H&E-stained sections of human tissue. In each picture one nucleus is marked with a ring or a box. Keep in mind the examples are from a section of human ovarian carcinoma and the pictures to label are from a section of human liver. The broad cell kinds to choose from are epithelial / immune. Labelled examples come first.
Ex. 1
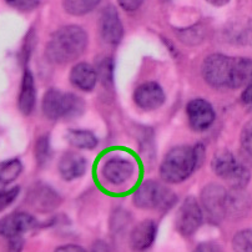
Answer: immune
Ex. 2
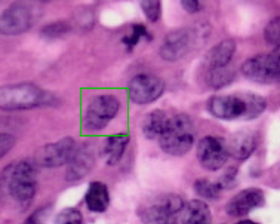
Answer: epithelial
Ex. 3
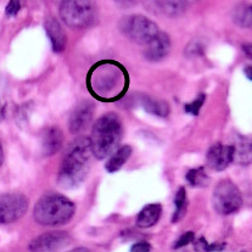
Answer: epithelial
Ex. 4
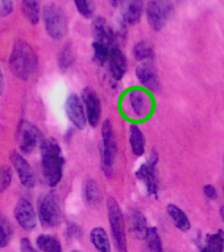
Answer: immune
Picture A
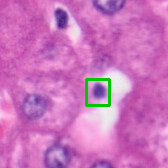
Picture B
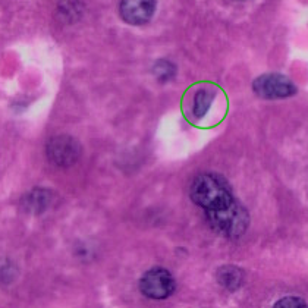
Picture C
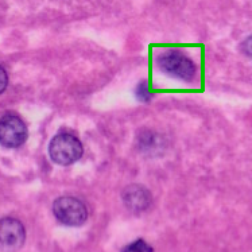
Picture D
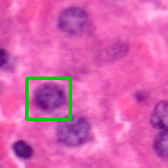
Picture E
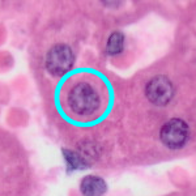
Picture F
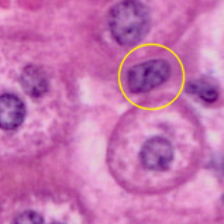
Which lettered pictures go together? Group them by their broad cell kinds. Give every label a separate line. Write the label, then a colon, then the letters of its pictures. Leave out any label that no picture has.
epithelial: D, E
immune: A, B, C, F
